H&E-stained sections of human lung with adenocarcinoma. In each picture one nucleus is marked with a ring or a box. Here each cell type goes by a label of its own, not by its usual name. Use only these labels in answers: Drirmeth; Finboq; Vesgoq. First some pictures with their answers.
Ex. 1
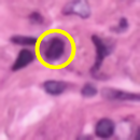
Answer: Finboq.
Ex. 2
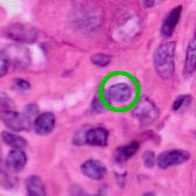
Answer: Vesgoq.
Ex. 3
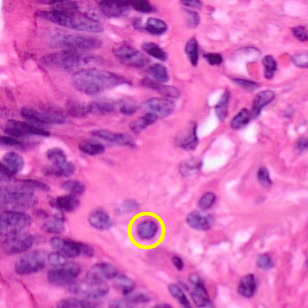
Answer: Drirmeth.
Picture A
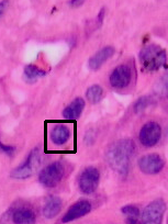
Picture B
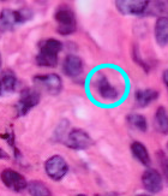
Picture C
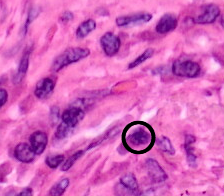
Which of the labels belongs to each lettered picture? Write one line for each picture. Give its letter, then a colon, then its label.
A: Drirmeth.
B: Vesgoq.
C: Finboq.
